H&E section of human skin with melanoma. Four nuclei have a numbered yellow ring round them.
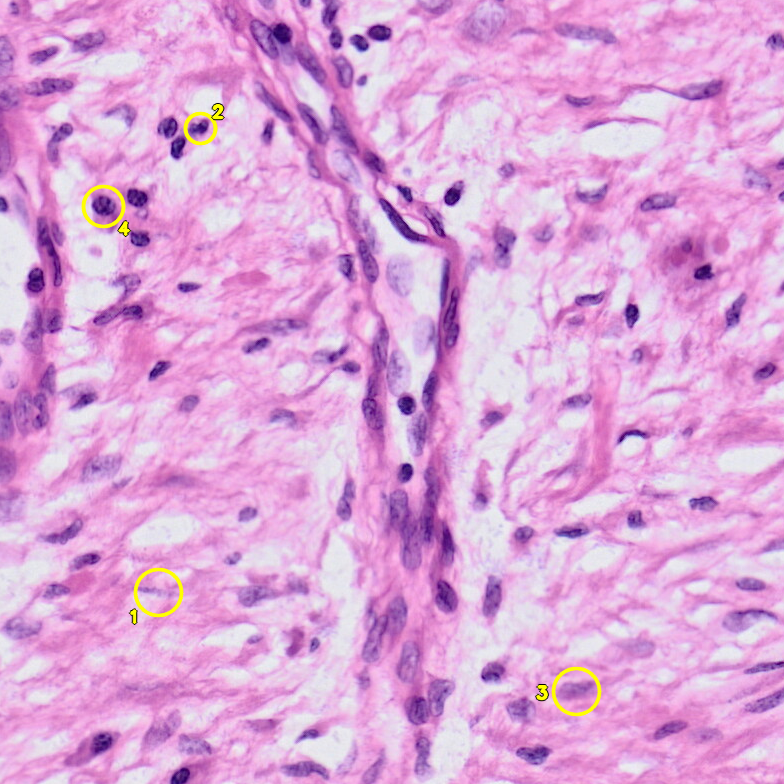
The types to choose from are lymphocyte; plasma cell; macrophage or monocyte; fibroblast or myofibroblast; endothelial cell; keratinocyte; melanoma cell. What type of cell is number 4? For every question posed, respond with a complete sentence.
The cell indicated by marker 4 is a plasma cell in this section.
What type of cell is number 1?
The nucleus labelled 1 belongs to a fibroblast or myofibroblast.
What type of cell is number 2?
Heads up, the cell numbered 2 is a lymphocyte.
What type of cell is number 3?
In this section, number 3 marks a fibroblast or myofibroblast.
